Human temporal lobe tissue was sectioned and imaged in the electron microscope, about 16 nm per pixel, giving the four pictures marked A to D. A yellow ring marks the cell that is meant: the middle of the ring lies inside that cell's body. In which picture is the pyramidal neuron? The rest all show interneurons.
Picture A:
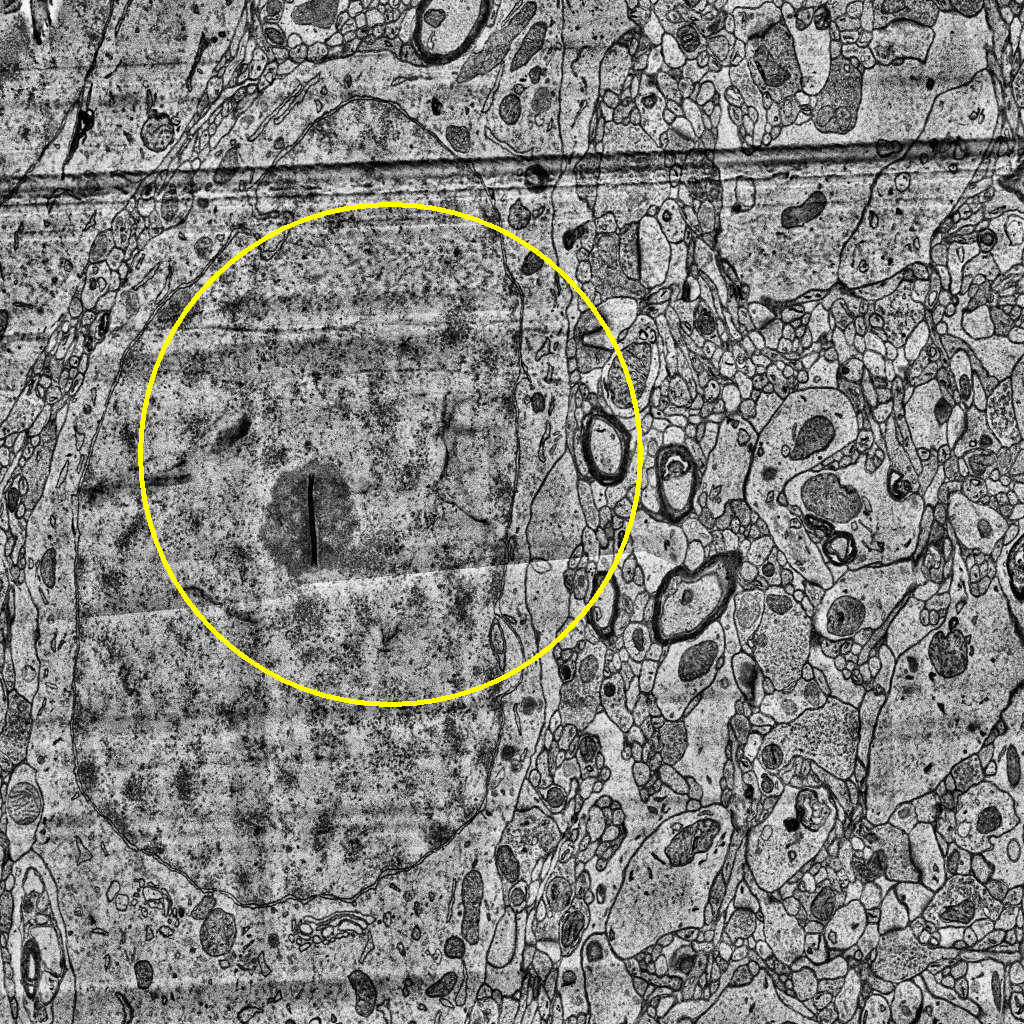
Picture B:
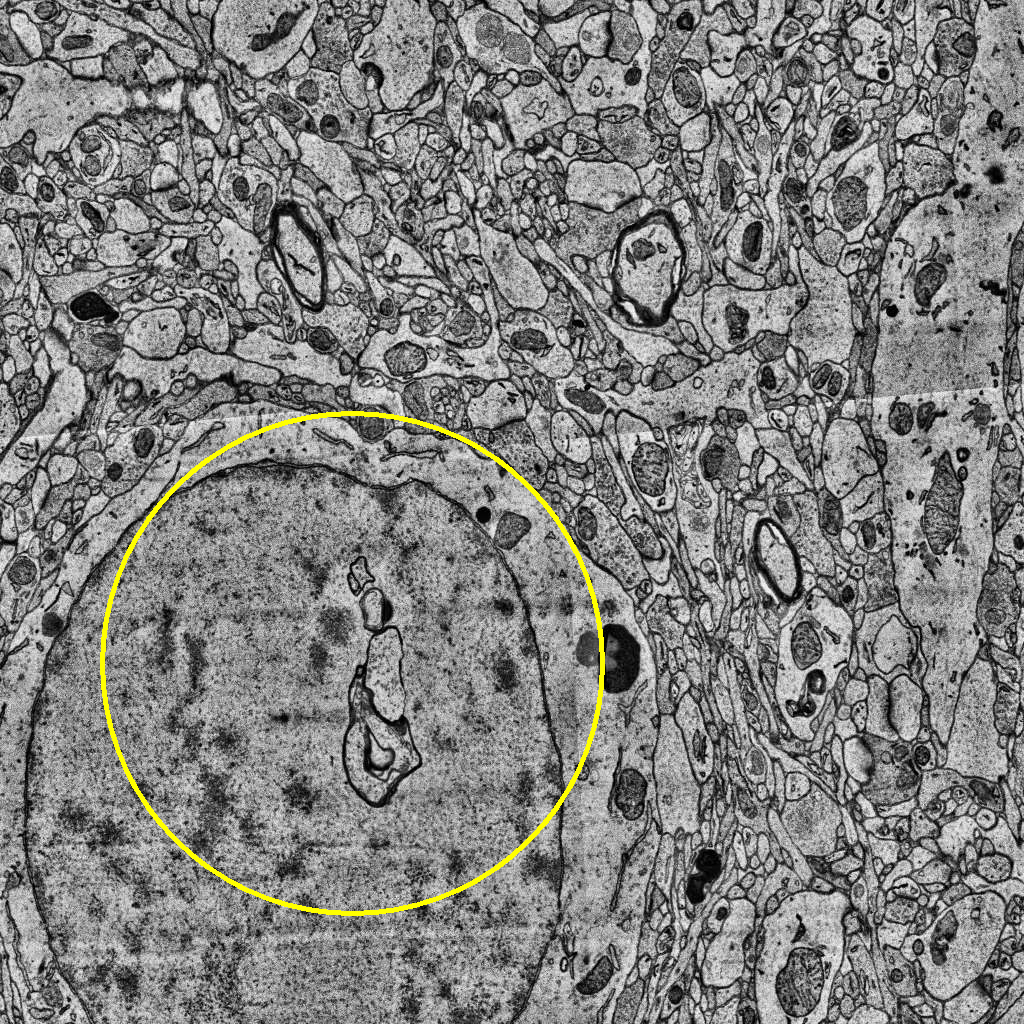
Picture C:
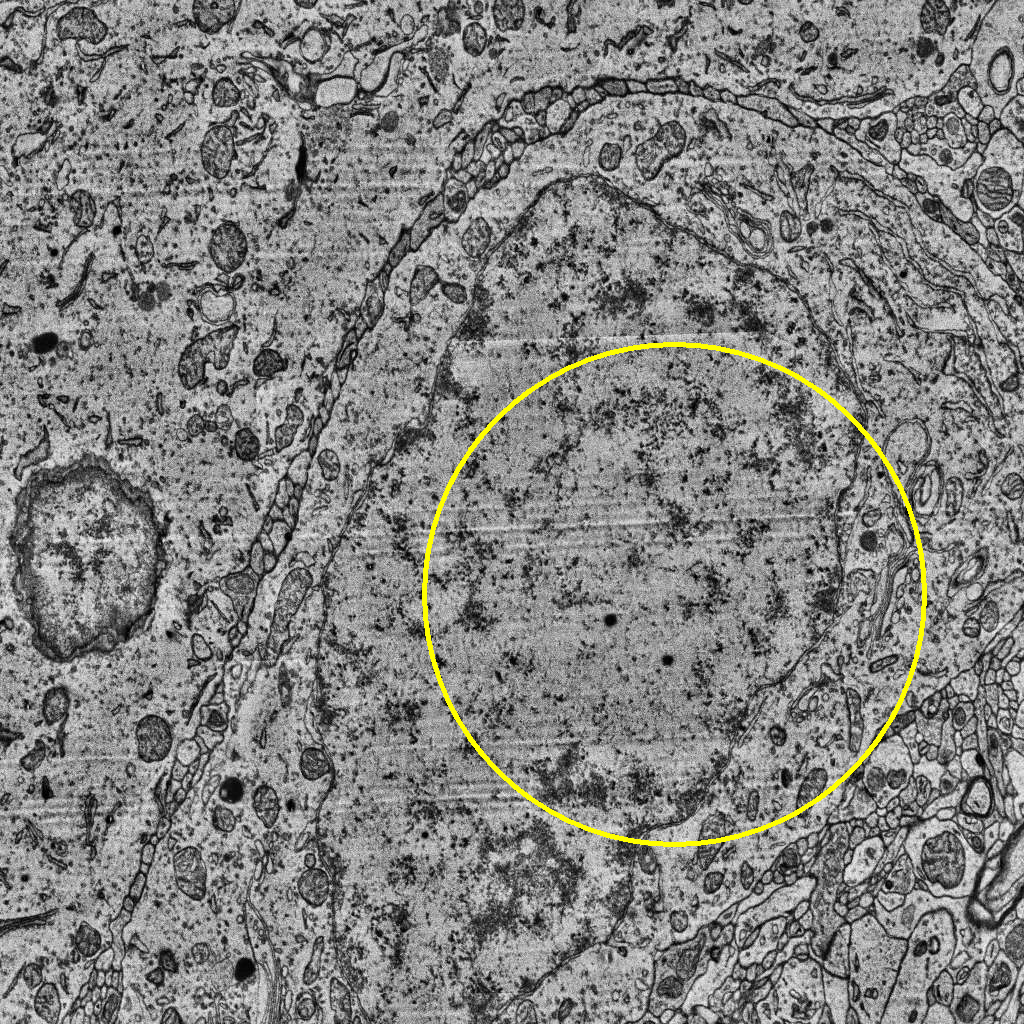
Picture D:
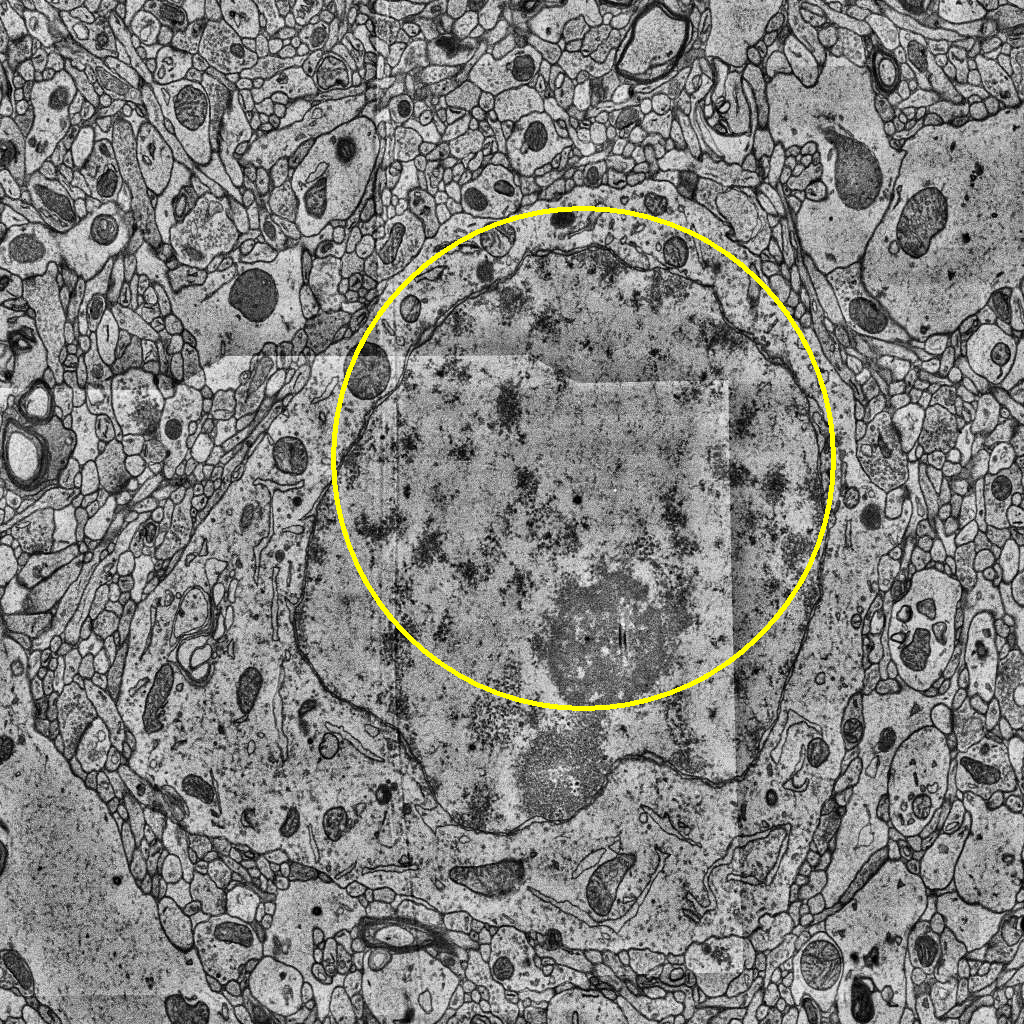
The cell in picture B is the pyramidal neuron.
